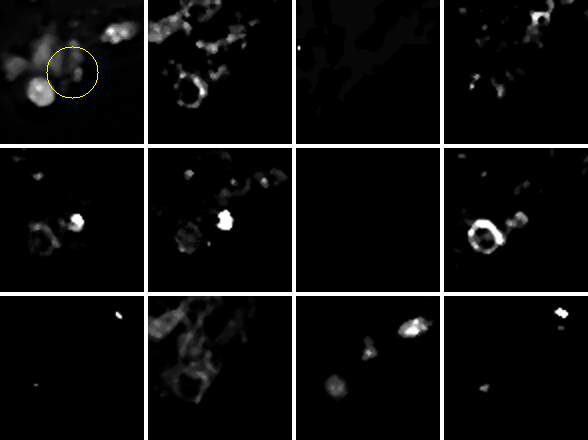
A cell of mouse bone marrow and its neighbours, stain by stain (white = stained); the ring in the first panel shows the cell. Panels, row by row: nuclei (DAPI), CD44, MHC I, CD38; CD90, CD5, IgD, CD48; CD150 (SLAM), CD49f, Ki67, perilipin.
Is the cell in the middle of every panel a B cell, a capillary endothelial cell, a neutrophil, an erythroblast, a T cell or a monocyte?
It is a T cell.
